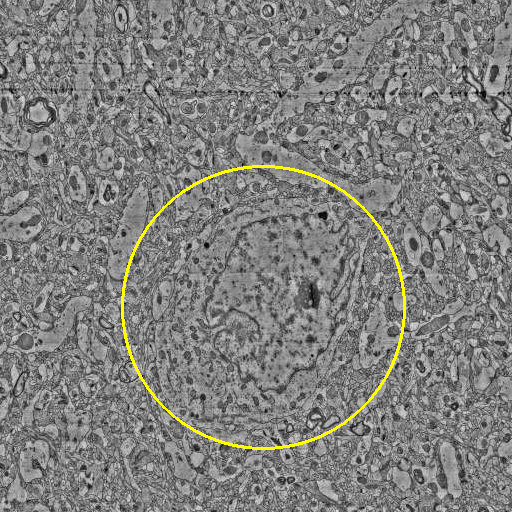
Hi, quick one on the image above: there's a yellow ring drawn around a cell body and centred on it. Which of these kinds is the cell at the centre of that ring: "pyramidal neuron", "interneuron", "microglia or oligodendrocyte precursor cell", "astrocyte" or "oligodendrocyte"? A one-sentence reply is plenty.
The cell at the centre of the ring is an interneuron.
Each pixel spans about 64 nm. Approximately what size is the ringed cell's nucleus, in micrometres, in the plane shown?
In this plane, approximately 12 by 9 micrometers.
